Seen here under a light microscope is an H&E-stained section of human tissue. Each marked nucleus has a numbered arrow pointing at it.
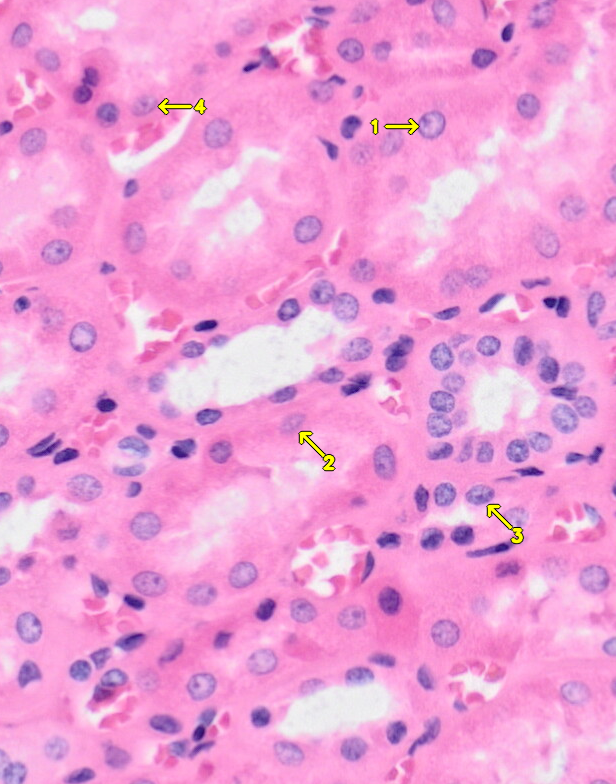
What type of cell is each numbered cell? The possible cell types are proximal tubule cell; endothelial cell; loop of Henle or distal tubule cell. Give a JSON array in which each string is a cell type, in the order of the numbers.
["proximal tubule cell", "proximal tubule cell", "loop of Henle or distal tubule cell", "proximal tubule cell"]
